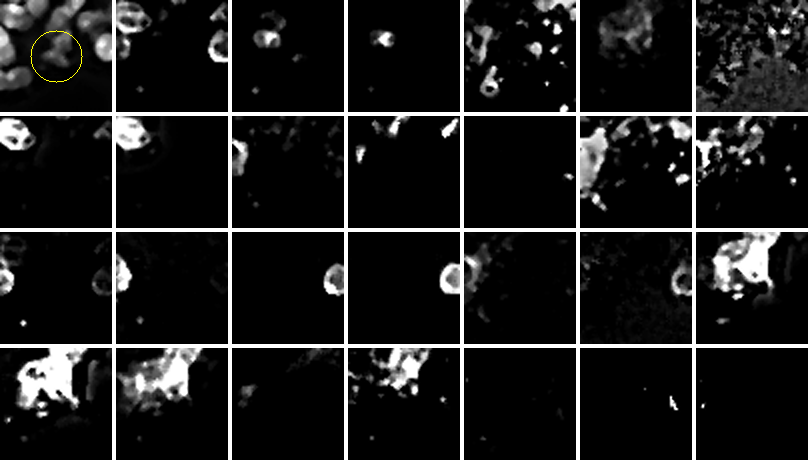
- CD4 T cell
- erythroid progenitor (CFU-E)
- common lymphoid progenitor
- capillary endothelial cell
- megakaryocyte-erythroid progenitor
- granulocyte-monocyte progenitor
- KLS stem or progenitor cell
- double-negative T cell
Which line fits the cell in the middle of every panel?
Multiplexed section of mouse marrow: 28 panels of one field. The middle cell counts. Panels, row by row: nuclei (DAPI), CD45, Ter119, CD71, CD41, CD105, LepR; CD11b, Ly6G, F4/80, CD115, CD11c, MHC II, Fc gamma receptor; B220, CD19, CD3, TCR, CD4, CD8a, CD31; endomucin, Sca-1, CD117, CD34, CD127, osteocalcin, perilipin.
capillary endothelial cell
